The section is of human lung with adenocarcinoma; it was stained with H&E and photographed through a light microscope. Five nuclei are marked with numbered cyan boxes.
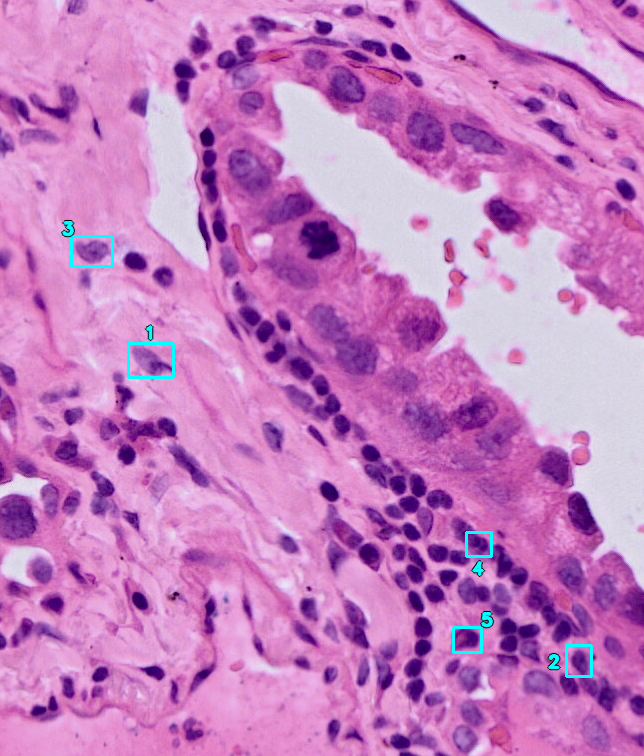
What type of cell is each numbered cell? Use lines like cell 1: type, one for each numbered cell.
cell 1: fibroblast
cell 2: lymphocyte
cell 3: fibroblast
cell 4: lymphocyte
cell 5: plasma cell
